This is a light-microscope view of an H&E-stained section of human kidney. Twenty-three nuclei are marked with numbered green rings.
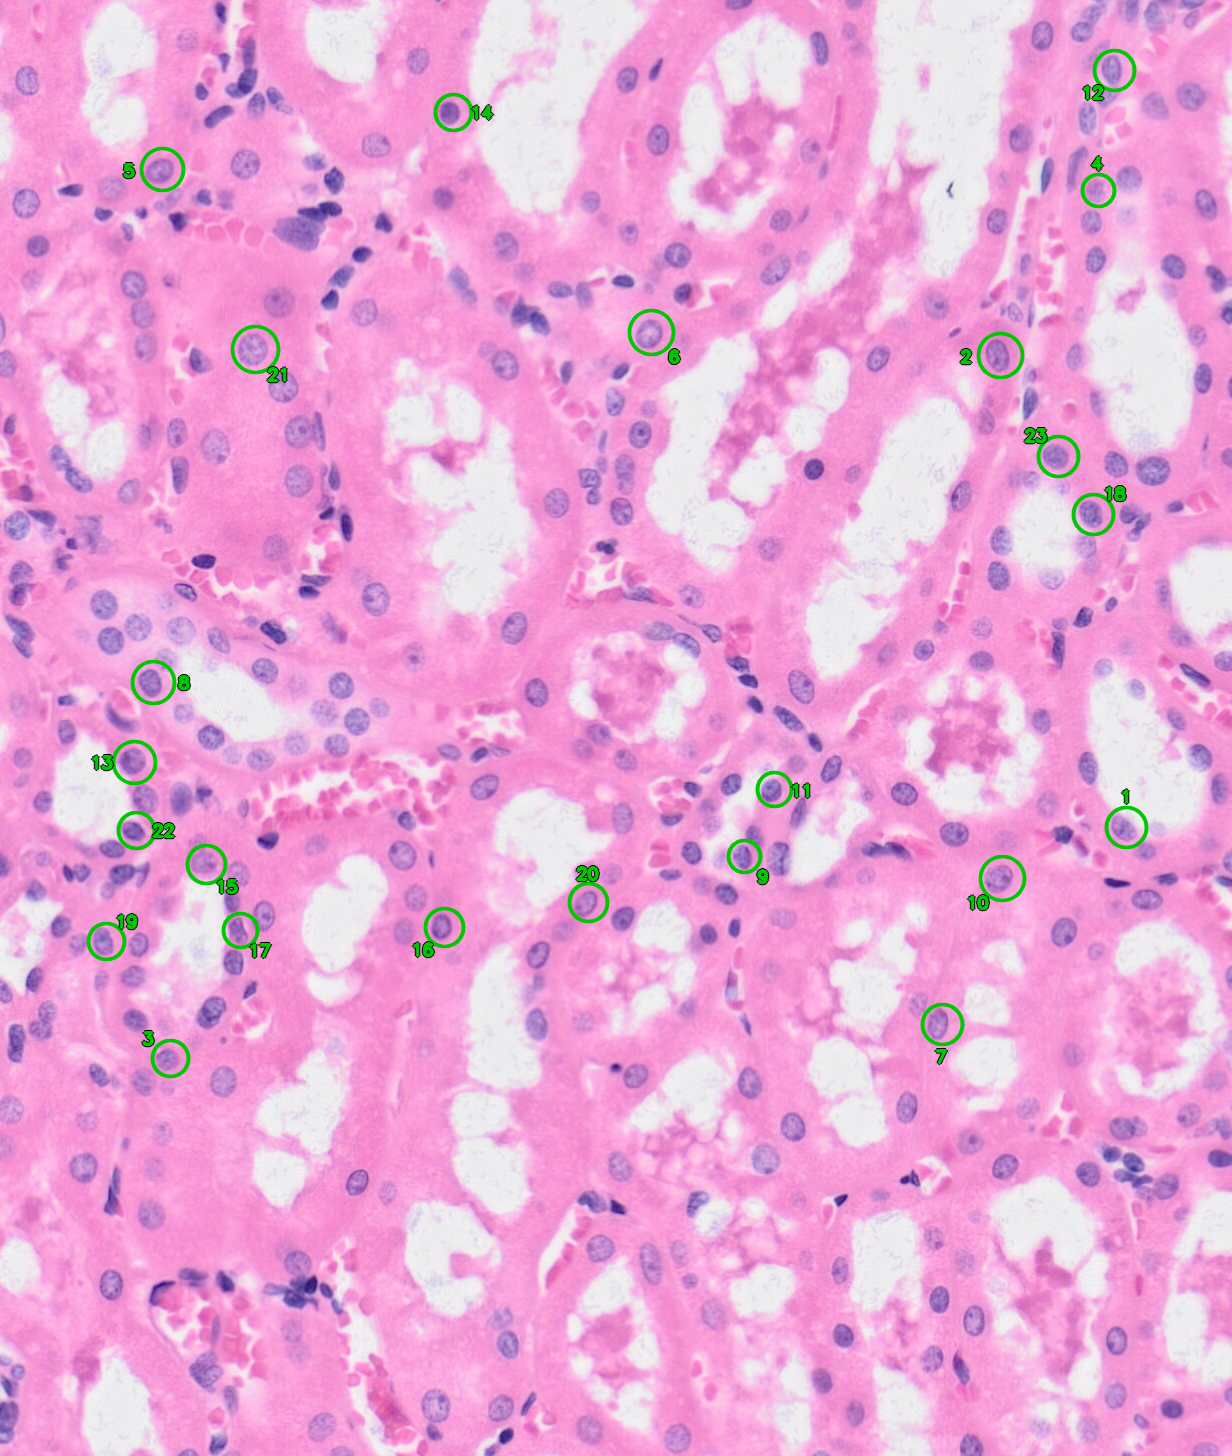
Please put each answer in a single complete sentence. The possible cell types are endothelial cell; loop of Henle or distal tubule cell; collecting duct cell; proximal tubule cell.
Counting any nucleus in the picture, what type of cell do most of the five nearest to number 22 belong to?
The majority of the five nuclei closest to number 22 belong to loop of Henle or distal tubule cells.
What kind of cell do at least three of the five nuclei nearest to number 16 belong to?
Proximal tubule cells account for more than half of the five nuclei nearest to number 16.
